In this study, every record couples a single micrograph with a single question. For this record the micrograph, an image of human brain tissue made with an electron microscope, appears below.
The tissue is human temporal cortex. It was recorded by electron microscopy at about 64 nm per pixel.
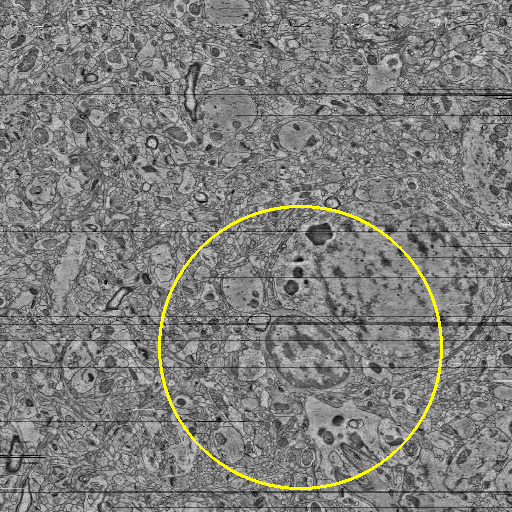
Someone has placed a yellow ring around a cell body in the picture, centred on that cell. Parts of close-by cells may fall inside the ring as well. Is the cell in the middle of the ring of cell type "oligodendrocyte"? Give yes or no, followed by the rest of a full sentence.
Yes, the cell centred in the ring shown in the picture does have that cell type.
